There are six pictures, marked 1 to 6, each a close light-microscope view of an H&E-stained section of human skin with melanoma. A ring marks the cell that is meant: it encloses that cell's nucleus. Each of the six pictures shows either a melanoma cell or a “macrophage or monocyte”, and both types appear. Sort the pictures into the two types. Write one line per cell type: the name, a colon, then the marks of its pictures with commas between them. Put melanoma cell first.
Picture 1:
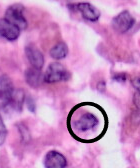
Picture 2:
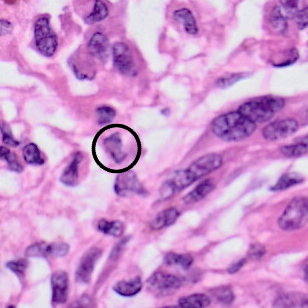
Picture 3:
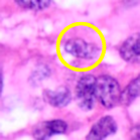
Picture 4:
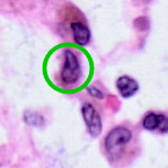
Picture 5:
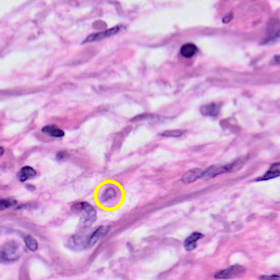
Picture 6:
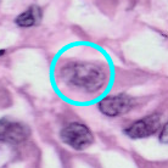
melanoma cell: 3, 6
macrophage or monocyte: 1, 2, 4, 5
